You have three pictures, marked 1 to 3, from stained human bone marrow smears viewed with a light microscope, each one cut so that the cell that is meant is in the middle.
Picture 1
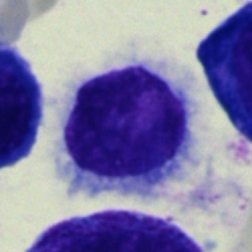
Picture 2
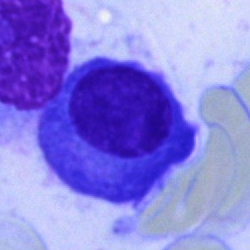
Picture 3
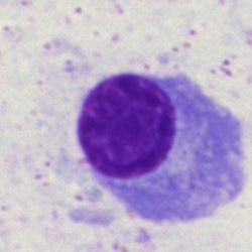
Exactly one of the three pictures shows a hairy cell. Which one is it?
1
